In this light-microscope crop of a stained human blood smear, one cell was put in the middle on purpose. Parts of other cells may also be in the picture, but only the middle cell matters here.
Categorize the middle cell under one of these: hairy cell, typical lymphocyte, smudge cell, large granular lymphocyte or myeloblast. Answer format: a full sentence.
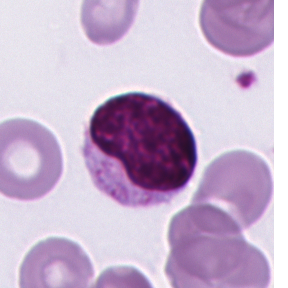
The cell featured at the centre of this crop is a large granular lymphocyte.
